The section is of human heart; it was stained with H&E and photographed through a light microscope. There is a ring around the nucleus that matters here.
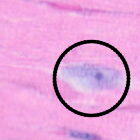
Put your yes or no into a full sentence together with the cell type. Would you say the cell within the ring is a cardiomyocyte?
Yes, to name the cell within the ring a cardiomyocyte is correct.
